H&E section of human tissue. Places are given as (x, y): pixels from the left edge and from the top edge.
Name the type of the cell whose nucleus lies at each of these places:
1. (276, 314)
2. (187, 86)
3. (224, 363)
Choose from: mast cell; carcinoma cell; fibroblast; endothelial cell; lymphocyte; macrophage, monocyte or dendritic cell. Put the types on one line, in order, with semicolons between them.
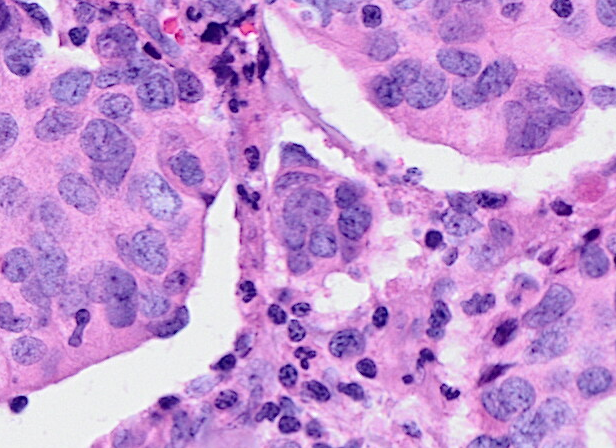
lymphocyte; carcinoma cell; lymphocyte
